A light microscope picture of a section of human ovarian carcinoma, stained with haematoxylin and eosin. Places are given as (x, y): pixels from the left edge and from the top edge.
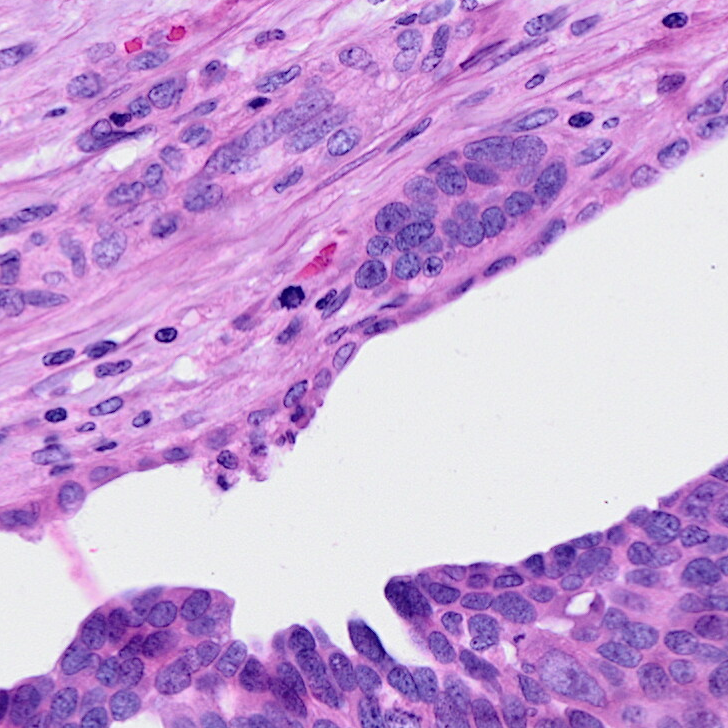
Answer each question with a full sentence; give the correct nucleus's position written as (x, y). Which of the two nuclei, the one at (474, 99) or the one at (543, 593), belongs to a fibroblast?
Which one belongs to a fibroblast? The nucleus at (474, 99) does.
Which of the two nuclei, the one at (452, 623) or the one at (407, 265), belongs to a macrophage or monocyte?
Between the two nuclei, the one sitting at (452, 623) belongs to a macrophage or monocyte.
